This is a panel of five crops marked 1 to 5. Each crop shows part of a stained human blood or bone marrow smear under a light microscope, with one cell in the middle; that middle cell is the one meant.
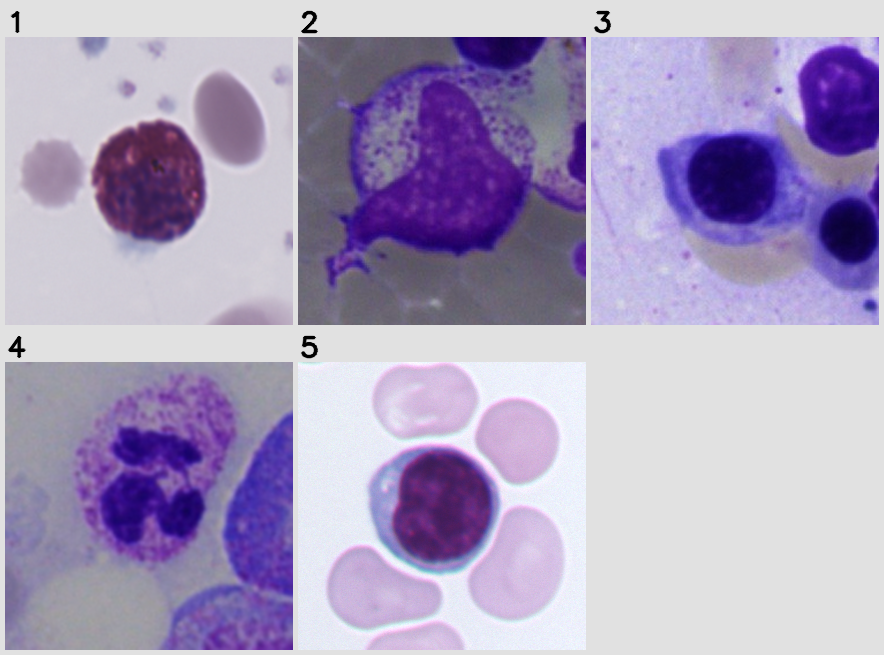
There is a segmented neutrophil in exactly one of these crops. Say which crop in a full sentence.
Among the crops, only crop 4 contains a segmented neutrophil.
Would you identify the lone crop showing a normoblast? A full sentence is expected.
Crop 3 is the correct crop, and it shows a normoblast.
